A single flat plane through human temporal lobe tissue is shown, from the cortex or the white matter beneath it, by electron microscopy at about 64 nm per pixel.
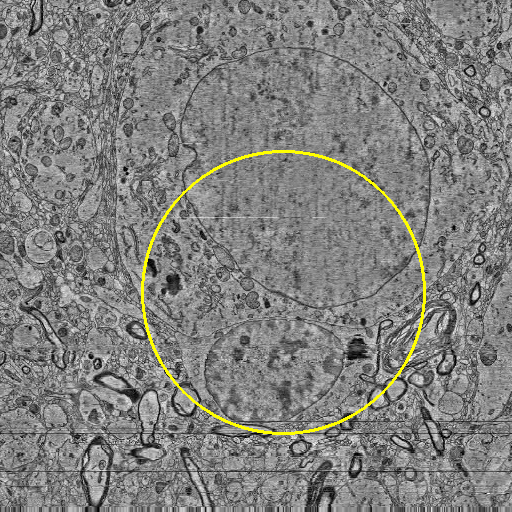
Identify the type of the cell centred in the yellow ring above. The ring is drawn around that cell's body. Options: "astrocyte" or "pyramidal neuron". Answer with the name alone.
pyramidal neuron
